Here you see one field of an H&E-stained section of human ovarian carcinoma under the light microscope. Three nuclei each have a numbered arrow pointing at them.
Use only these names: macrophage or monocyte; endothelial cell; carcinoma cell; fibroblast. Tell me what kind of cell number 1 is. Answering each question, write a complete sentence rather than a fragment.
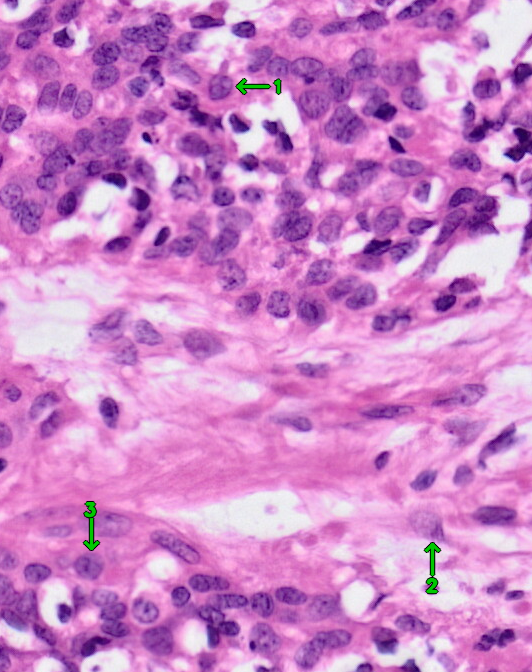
The marked cell bearing number 1 is a carcinoma cell.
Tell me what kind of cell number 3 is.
Heads up, the cell numbered 3 is a carcinoma cell.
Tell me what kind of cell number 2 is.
The cell to which the number 2 is assigned is a fibroblast.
